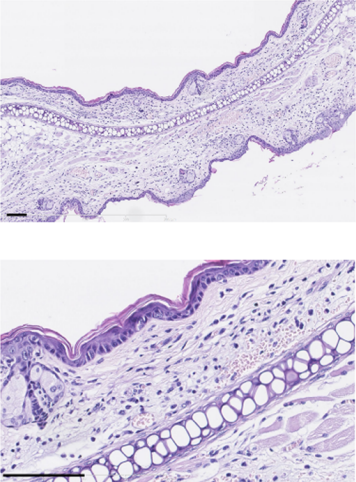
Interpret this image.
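This is a section through ear skin, with a thin stratified squamous epidermis covered by pink keratin, a dermis, and a central plate of cartilage made of rows of pale, vacuolated cells. At low magnification the section is fairly thin, and scattered nuclei lie in a loose, pale pink dermis. At higher magnification the epidermis is only a few cell layers thick. The dermis shows loose connective tissue with scattered spindle-shaped and round nuclei. A small blood vessel filled with red cells lies beside the cartilage.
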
